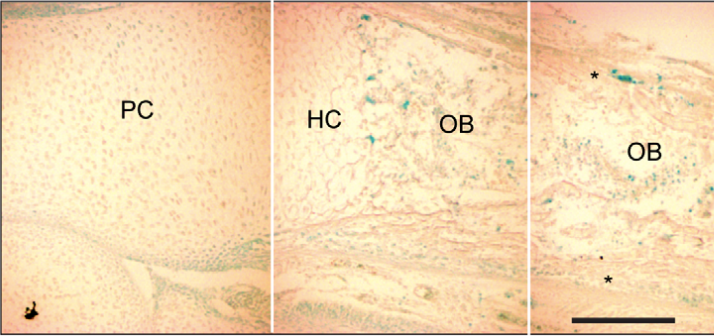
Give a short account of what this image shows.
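This longitudinal section of a developing long bone runs from cartilage on the left into a forming bone region on the right. On the left, small rounded chondrocytes sit closely packed in an even, pale pink matrix with no blue dots. In the middle picture the chondrocytes become enlarged, with clear lacunae, and they give way to a loose, meshlike region in which scattered cells carry small blue deposits. On the right, this loose region is bordered above and below by thin bands of flattened, elongated cells, and blue-stained cells cluster within it and along these edges.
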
